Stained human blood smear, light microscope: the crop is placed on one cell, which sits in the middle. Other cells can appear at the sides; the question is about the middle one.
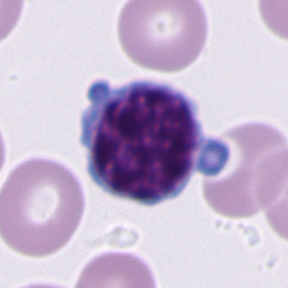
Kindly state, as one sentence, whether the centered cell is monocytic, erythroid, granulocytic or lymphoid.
The central cell in this crop is categorized under the erythroid lineage.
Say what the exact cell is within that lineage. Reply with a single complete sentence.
The centrally located cell in the crop is a normoblast.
